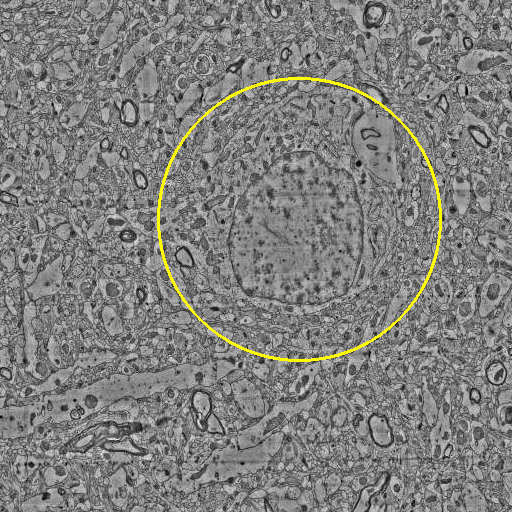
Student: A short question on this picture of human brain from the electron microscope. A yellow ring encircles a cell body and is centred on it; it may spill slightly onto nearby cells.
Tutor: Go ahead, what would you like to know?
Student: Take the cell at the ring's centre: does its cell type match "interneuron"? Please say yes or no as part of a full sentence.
Yes, in the picture, the cell at the ring's centre has that cell type.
